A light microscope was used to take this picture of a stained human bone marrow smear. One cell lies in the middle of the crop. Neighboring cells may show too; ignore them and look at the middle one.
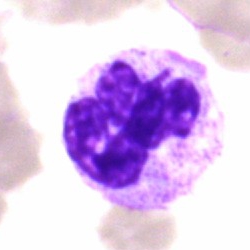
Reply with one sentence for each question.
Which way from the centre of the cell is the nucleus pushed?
Toward the left of the cell lies its nucleus.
